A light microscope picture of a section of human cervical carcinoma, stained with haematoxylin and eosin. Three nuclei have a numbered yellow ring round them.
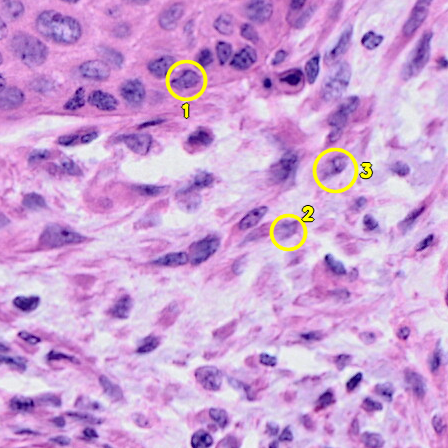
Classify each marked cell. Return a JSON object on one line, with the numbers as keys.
{"1": "squamous carcinoma cell", "2": "fibroblast", "3": "fibroblast"}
